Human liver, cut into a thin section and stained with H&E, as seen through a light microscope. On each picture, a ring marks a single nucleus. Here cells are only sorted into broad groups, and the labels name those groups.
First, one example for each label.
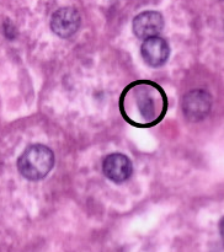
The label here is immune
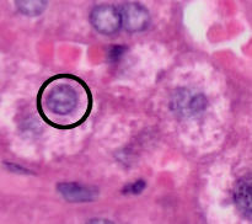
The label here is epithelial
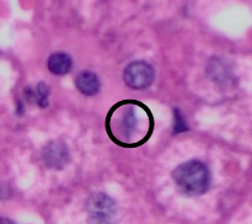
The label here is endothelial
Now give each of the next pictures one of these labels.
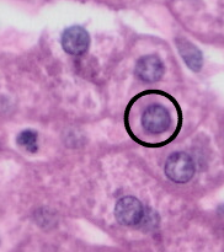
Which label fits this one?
epithelial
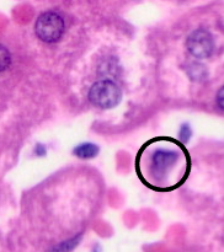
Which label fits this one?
immune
